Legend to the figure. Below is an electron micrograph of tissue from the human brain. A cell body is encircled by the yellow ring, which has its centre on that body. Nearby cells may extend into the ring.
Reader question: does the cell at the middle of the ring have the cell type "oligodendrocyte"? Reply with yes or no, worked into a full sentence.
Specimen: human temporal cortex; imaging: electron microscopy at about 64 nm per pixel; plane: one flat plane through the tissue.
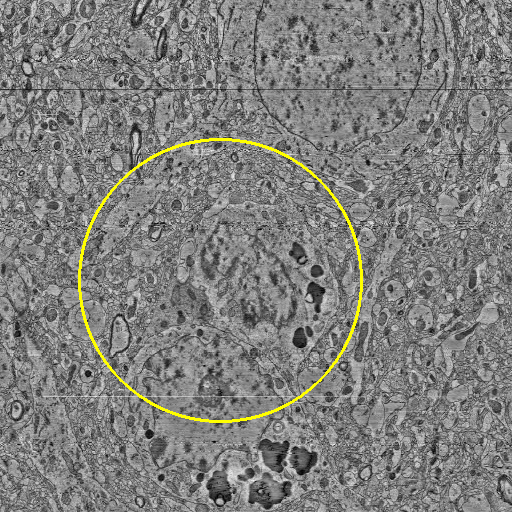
Yes, the cell sitting at the middle of the ring in the picture has that cell type.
